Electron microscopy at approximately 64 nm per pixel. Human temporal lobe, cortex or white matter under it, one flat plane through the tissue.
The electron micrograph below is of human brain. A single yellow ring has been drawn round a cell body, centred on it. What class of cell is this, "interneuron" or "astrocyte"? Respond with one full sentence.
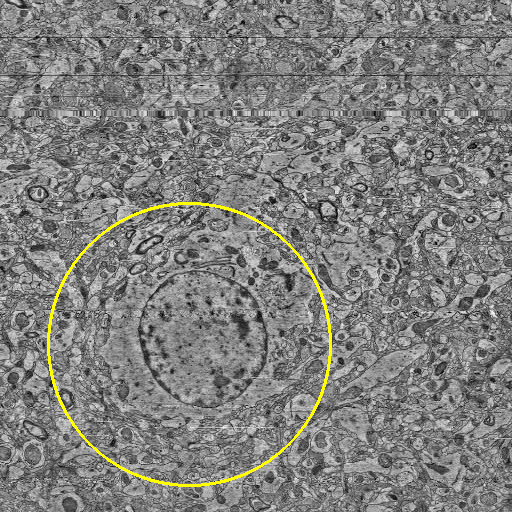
In the micrograph, the cell centred inside the yellow ring is an astrocyte.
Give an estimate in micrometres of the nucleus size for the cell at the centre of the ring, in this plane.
The nucleus comes to roughly 8 micrometres across in this plane.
